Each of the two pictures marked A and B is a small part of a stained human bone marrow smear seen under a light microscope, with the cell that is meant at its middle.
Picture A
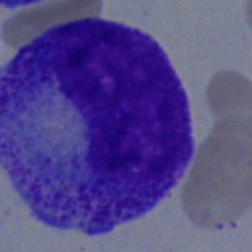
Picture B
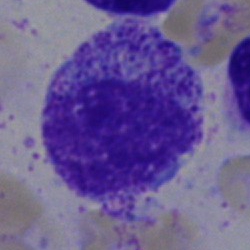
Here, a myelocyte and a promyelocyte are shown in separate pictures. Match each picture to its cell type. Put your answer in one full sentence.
It is picture A that shows a promyelocyte, and picture B that shows a myelocyte.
